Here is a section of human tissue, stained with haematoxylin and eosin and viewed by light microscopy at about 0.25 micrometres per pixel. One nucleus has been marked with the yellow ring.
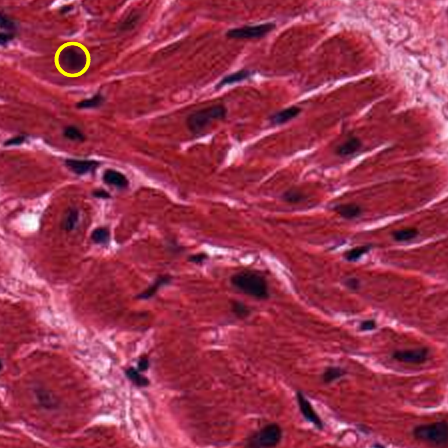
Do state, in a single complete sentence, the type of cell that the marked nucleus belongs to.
In this image, the nucleus that is marked belongs to a cardiomyocyte.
